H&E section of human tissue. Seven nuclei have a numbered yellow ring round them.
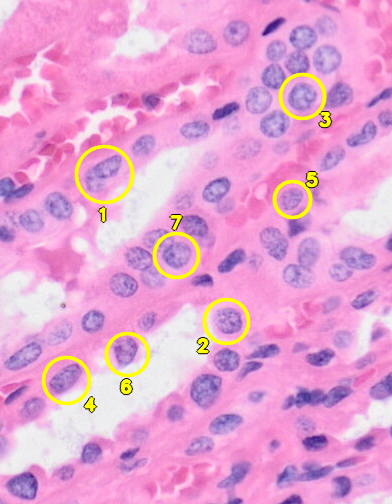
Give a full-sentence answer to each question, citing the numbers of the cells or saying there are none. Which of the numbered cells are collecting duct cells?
The cells shown with numbers 1, 3, 5 and 7 are collecting duct cells.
